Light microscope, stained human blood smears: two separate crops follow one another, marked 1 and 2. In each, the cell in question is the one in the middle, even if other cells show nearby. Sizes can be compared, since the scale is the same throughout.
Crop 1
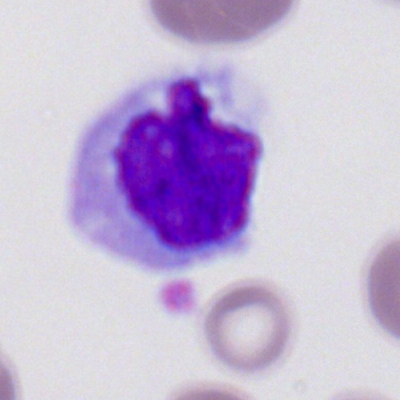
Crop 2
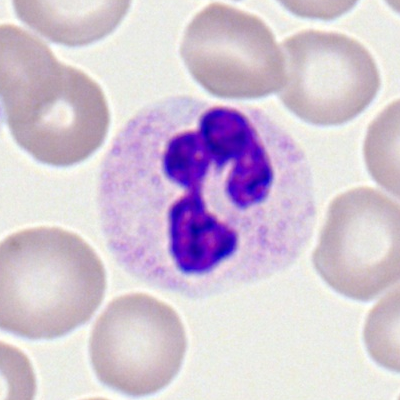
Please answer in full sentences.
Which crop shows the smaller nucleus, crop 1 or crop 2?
The nucleus in crop 2 is smaller; the one in crop 1 has about 1.5 times its area.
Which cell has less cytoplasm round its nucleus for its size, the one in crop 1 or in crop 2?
Of the two, the nucleus in crop 1 makes up the greater part of its cell.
